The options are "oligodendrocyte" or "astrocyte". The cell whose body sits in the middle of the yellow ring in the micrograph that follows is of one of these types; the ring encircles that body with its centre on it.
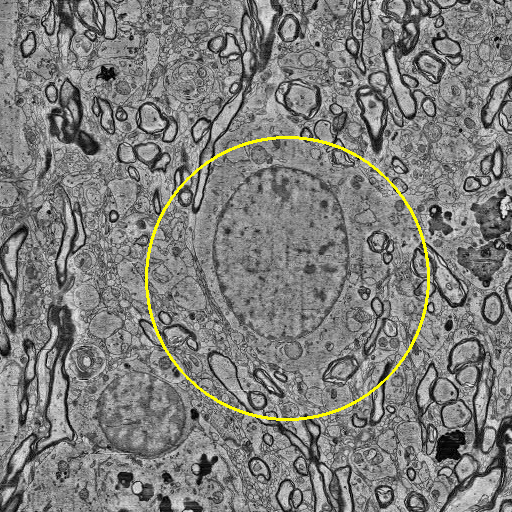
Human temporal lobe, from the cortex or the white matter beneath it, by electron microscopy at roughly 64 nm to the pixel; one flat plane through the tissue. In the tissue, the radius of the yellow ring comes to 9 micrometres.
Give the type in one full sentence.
Going by the micrograph, the cell centred in the yellow ring is an astrocyte.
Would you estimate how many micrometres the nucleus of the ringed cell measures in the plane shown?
The nucleus measures about 11 by 9 micrometres in this plane.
